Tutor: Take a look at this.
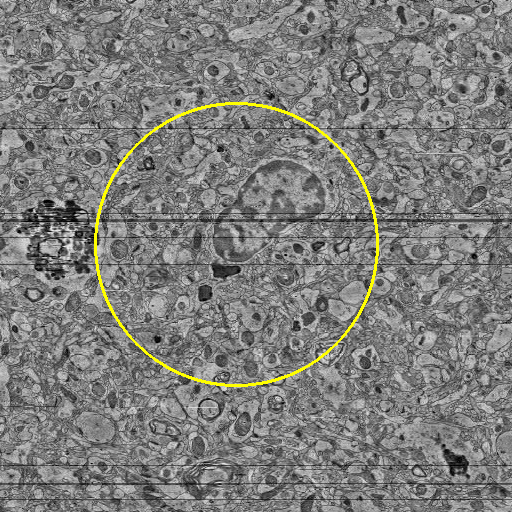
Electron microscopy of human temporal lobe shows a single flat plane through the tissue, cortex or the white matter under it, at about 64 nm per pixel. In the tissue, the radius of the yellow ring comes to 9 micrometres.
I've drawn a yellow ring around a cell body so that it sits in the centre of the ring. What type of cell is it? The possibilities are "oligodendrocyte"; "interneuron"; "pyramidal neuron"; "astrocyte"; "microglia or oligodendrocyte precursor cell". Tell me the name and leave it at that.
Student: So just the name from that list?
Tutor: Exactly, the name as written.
microglia or oligodendrocyte precursor cell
